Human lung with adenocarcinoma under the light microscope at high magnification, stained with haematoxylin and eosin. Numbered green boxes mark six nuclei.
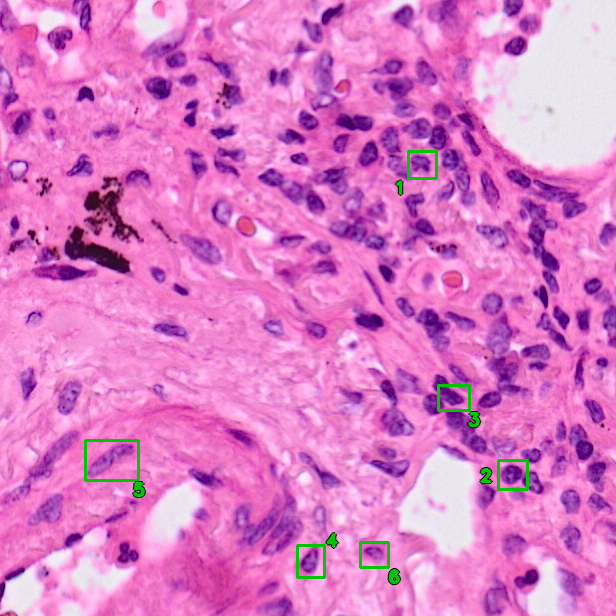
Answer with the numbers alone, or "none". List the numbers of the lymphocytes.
1, 2, 3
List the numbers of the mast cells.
4, 6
